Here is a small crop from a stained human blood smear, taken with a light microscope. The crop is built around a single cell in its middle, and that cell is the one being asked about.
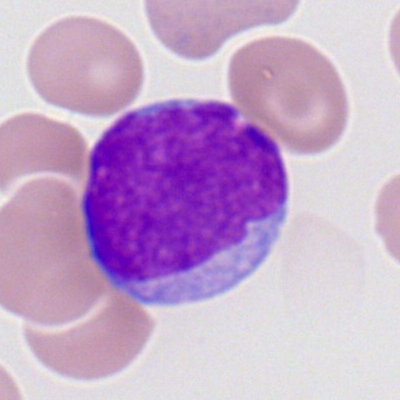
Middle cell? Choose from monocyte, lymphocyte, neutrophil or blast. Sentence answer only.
Whatever else lies nearby, the middle cell is a blast.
